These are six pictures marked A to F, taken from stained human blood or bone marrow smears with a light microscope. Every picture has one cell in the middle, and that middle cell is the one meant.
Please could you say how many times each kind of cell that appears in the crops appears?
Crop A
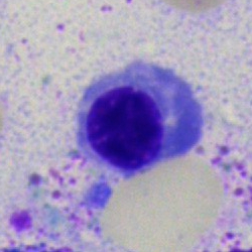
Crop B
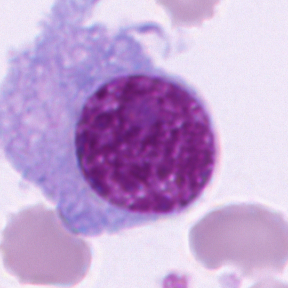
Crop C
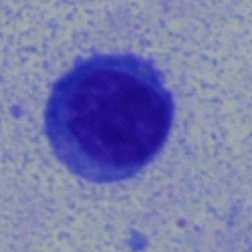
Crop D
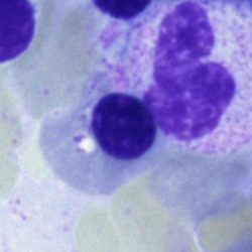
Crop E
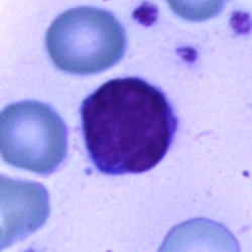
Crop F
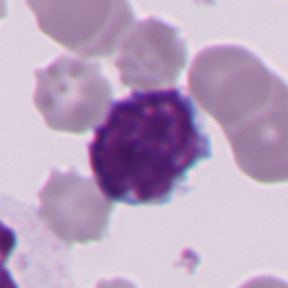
erythroblast: 2
plasma cell: 2
lymphocyte: 2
